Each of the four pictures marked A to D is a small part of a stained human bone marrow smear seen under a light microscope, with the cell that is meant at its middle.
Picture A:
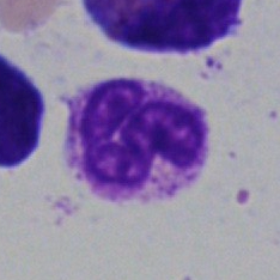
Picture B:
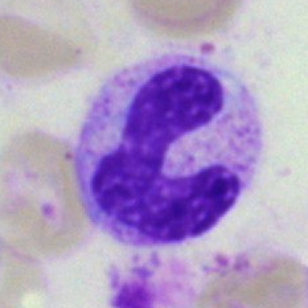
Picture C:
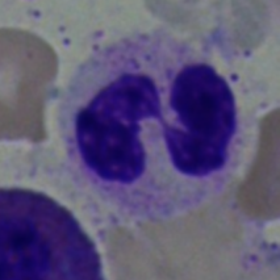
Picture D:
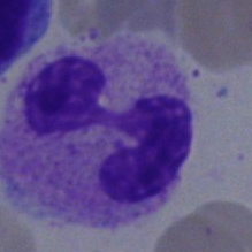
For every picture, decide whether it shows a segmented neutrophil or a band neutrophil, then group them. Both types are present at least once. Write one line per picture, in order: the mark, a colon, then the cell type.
A: segmented neutrophil
B: band neutrophil
C: segmented neutrophil
D: segmented neutrophil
